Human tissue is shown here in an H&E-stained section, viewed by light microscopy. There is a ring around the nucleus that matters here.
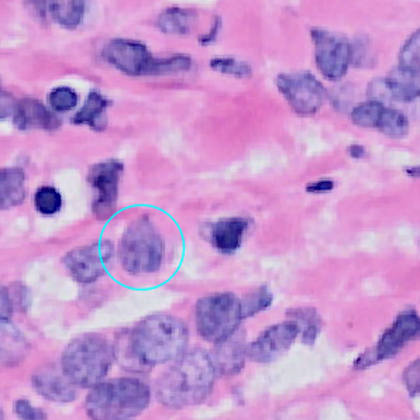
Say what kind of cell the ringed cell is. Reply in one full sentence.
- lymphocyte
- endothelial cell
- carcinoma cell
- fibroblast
The category to which the ringed cell belongs is that of a carcinoma cell.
